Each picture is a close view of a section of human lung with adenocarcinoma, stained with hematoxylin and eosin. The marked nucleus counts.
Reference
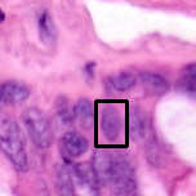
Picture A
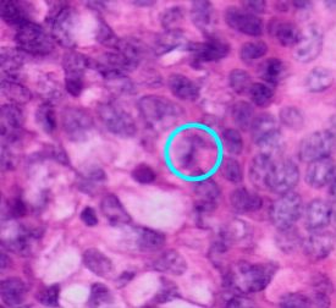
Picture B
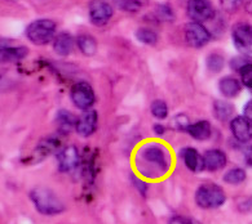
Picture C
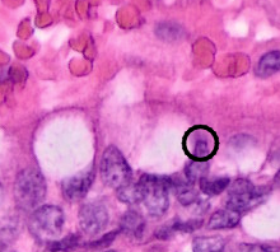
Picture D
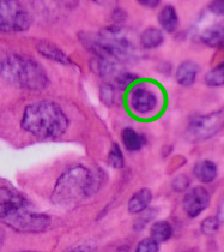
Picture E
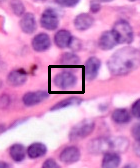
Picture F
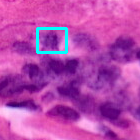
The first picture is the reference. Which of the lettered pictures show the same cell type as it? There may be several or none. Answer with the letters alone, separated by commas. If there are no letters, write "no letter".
A, C, F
